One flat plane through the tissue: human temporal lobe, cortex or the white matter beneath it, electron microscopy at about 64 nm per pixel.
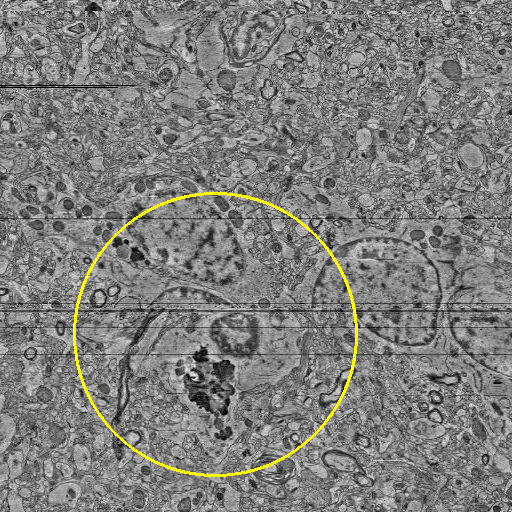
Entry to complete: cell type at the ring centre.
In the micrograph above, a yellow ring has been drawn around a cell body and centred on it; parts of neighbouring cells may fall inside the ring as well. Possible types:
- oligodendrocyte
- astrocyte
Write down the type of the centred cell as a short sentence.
The ring is centred on an astrocyte.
